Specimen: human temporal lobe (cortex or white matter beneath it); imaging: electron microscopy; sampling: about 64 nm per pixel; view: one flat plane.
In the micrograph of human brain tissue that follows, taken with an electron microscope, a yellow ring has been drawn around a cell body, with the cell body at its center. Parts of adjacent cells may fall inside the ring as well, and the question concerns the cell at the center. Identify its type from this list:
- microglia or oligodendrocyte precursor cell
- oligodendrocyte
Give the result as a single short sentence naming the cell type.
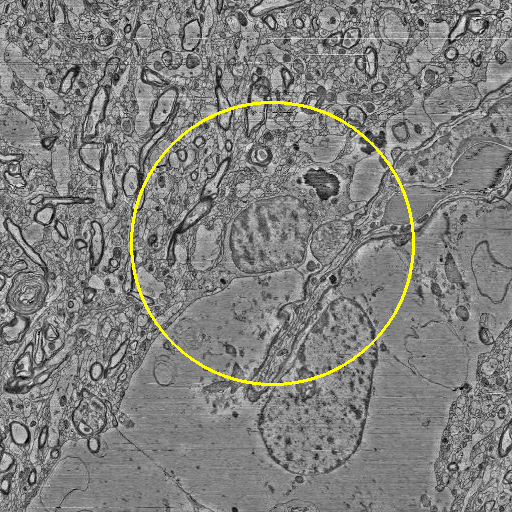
The ring is centered on an oligodendrocyte.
